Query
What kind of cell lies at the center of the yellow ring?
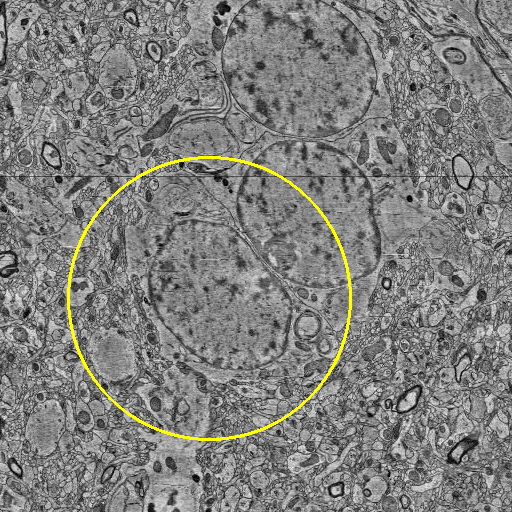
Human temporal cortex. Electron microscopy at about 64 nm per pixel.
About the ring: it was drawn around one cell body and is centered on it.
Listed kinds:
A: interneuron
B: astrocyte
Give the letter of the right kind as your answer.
B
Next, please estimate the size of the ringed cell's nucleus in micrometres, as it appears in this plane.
In this plane the nucleus spans approximately 11 by 8 micrometers.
